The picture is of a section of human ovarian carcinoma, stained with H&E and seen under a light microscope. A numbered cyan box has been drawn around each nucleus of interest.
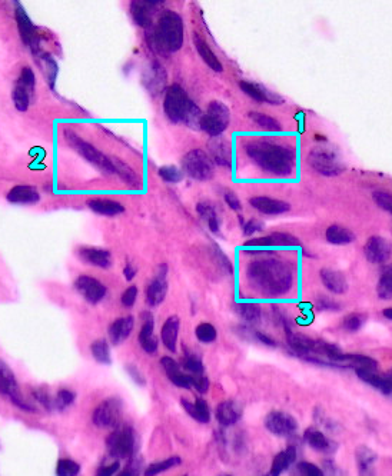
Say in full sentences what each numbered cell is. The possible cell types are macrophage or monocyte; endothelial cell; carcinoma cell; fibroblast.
Cells 1 and 3 are carcinoma cells. Cell 2 is a fibroblast.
